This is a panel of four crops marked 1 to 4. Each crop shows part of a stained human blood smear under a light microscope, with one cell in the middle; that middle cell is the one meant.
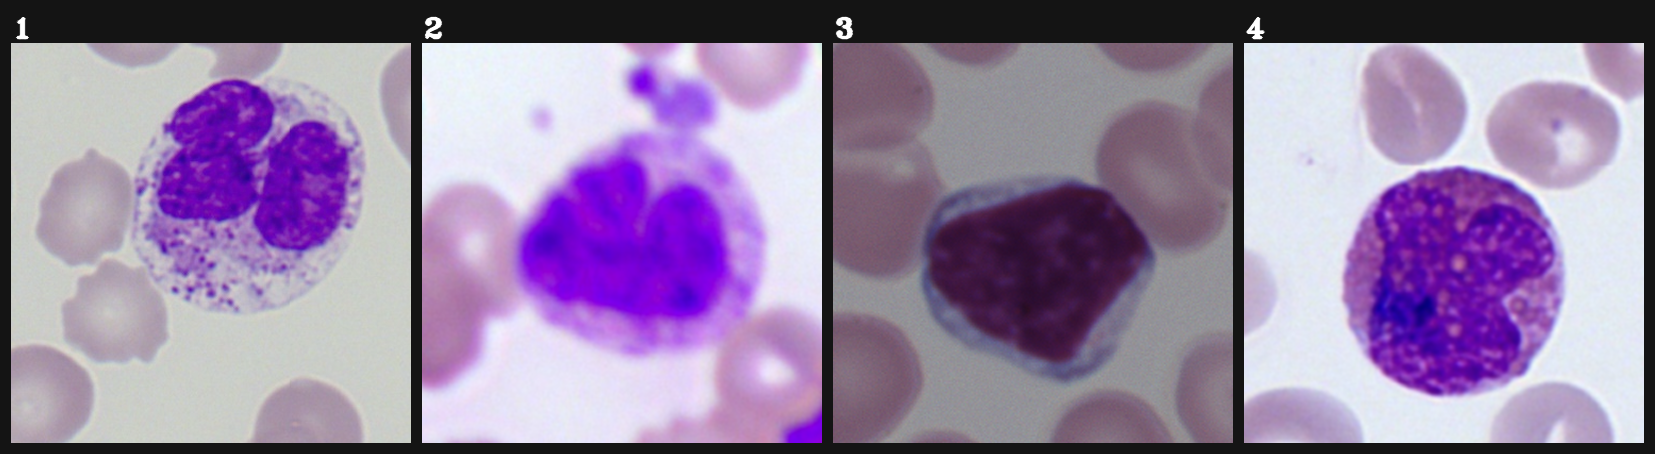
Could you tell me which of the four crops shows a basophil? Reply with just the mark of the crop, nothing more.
1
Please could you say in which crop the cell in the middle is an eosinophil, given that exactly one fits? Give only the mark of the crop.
4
